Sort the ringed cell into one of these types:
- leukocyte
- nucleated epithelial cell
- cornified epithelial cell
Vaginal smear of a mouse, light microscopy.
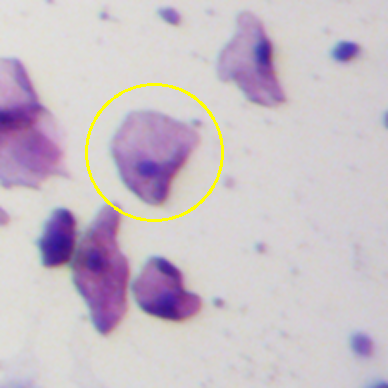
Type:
nucleated epithelial cell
